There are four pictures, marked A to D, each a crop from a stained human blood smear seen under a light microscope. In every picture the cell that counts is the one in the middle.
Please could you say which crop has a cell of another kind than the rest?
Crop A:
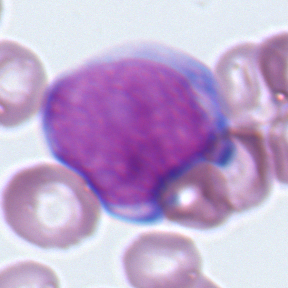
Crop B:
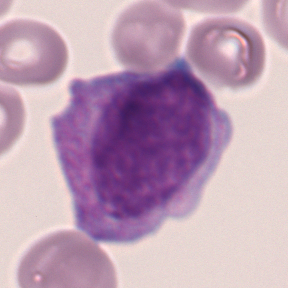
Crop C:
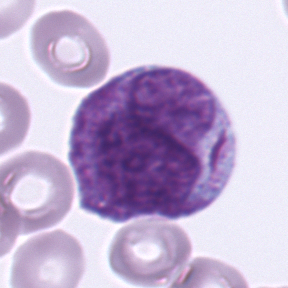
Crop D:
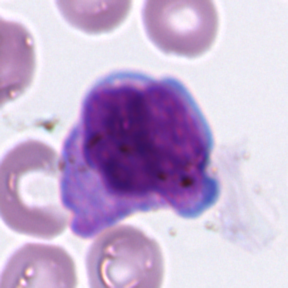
A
